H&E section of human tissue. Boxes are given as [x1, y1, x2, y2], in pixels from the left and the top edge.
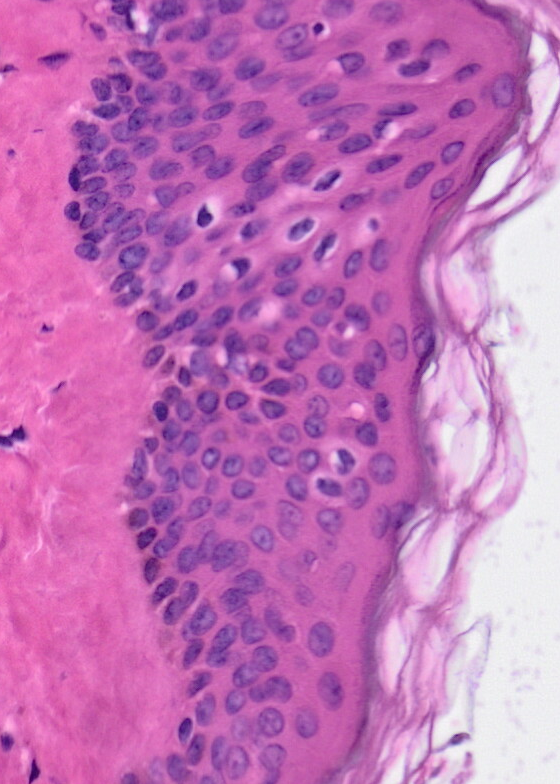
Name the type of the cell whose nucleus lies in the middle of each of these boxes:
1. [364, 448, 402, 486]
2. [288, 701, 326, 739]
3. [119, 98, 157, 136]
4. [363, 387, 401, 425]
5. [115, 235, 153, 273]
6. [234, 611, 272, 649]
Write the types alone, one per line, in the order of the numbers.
suprabasal keratinocyte
suprabasal keratinocyte
basal keratinocyte
suprabasal keratinocyte
basal keratinocyte
suprabasal keratinocyte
